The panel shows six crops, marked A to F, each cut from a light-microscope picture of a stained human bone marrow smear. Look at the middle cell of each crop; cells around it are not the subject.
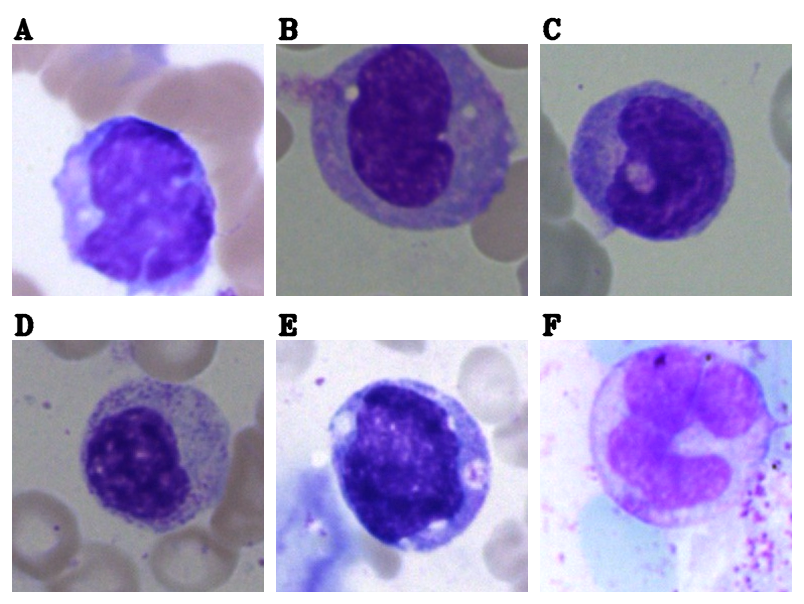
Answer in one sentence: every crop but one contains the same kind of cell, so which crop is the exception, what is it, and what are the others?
Unlike the other crops, which all show monocytes, crop D is a metamyelocyte.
